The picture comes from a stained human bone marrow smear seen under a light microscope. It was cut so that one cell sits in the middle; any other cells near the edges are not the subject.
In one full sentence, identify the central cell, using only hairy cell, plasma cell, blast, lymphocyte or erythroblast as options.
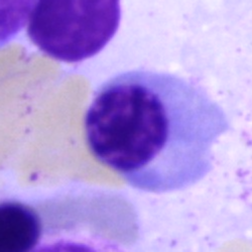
The cell centered in this field of view is an erythroblast.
